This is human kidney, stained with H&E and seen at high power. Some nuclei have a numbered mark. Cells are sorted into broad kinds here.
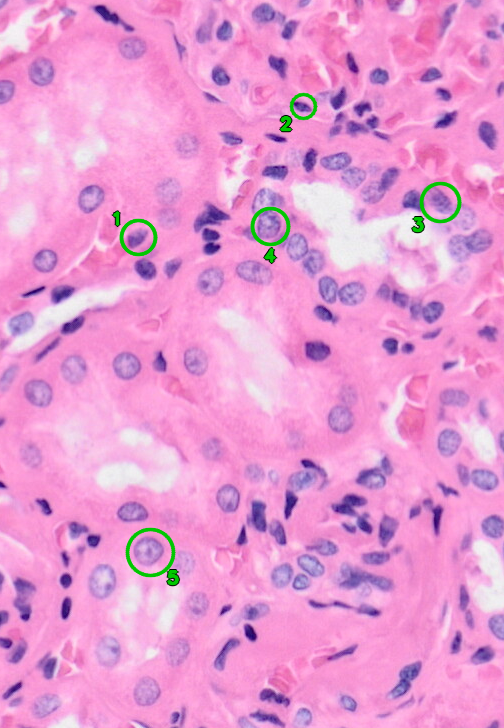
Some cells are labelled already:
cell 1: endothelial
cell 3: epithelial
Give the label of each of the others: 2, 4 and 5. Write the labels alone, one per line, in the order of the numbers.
endothelial
epithelial
epithelial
